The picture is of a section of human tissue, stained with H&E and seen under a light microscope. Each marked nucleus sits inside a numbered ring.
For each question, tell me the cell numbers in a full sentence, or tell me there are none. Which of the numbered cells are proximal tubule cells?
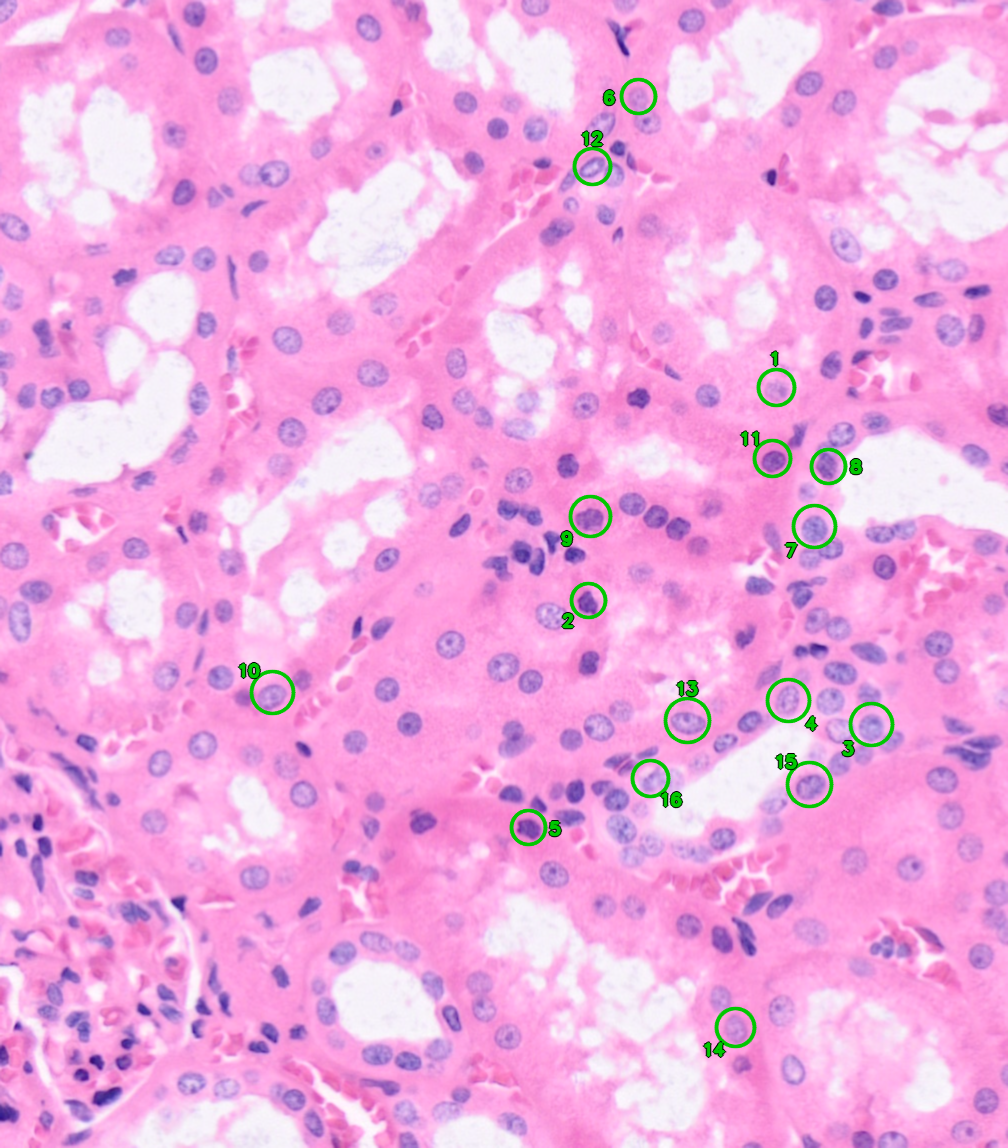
By cell type, the cells numbered 1, 2, 5, 6, 9, 10, 11, 13 and 14 are proximal tubule cells.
